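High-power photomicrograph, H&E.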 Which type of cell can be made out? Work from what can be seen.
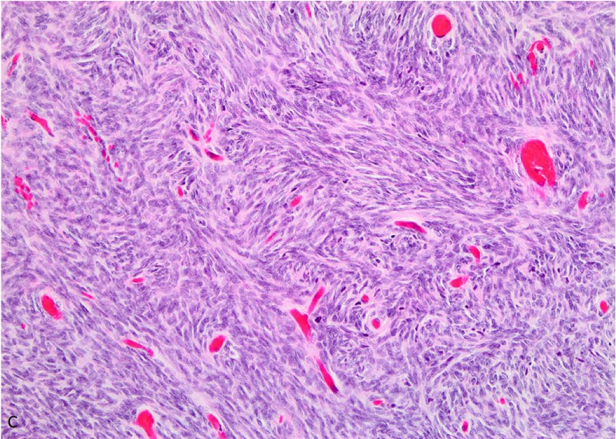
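Spindle shaped tumour cells. Densely packed cells with elongated, tapering nuclei. Cells run in intersecting fascicles and streams. Many small thin-walled vessels filled with red blood cells lie between the cells.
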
